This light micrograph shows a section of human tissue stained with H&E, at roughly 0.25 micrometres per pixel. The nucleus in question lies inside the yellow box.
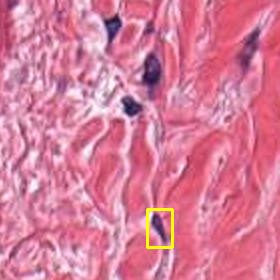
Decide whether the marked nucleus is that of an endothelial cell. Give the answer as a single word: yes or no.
no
